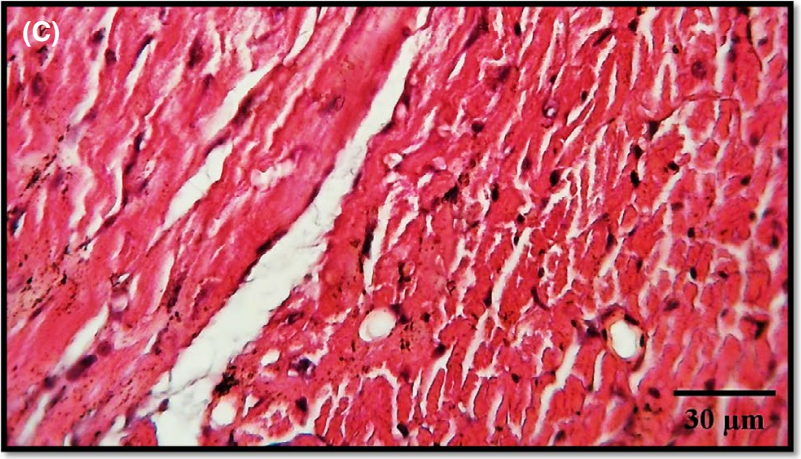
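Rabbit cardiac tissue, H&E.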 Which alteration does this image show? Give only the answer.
Separation of myocardial muscle fibers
